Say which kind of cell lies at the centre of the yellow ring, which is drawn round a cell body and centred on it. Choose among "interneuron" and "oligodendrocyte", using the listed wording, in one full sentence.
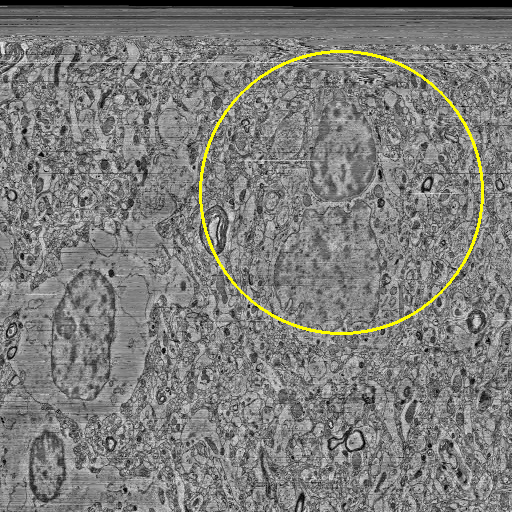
Going by the list, the cell at the yellow ring's centre is an oligodendrocyte.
